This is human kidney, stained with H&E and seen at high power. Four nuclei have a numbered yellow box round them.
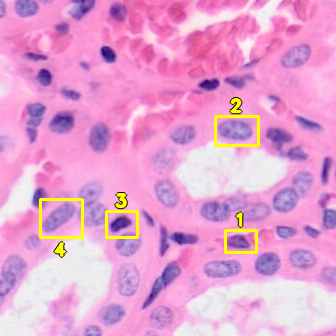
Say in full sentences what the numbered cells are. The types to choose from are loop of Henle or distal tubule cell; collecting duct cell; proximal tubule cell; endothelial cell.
Cell 1 is an endothelial cell. Cells 2, 3 and 4 are collecting duct cells.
